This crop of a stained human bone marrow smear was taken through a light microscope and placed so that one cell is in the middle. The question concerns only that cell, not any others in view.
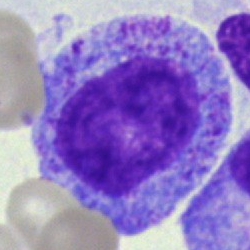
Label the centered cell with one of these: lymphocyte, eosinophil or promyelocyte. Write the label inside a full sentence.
The target cell in the middle of the crop is a promyelocyte.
